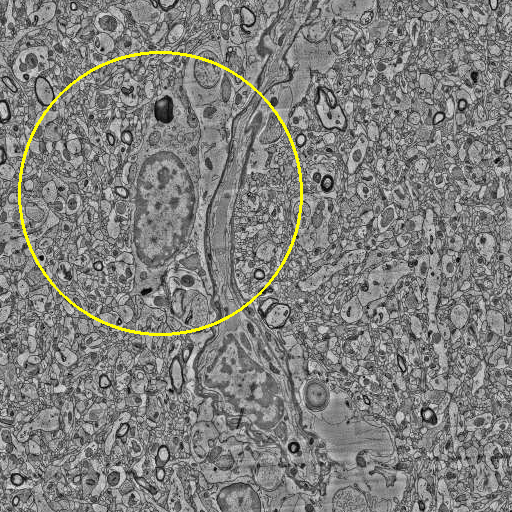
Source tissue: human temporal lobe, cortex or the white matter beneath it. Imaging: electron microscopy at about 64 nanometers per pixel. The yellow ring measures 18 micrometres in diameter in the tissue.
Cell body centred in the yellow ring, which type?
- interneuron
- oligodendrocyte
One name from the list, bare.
oligodendrocyte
